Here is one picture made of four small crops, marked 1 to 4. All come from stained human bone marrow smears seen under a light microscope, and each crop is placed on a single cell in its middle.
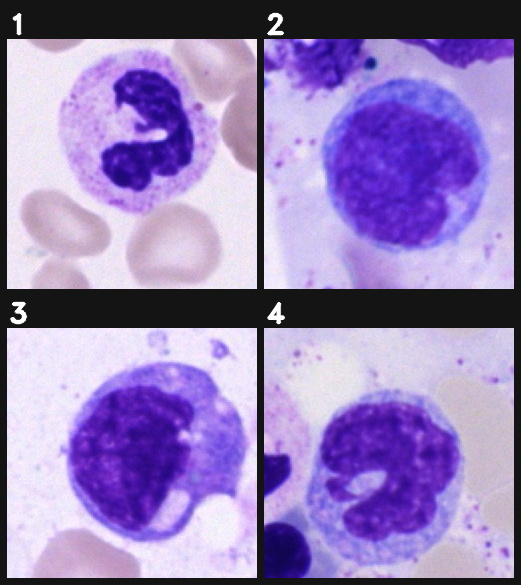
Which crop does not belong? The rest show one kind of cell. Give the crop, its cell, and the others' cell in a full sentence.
Crop 1 contains a segmented neutrophil, setting it apart from the other crops, which all contain monocytes.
